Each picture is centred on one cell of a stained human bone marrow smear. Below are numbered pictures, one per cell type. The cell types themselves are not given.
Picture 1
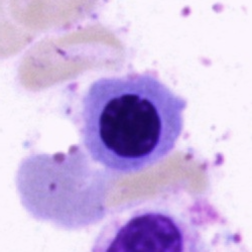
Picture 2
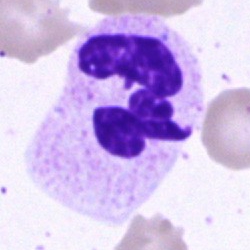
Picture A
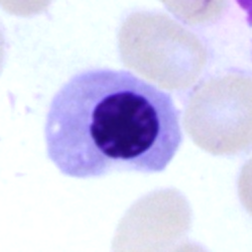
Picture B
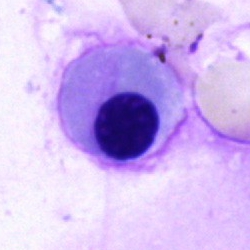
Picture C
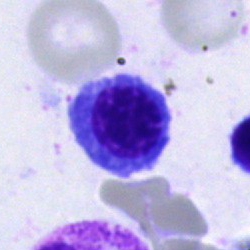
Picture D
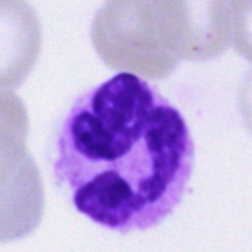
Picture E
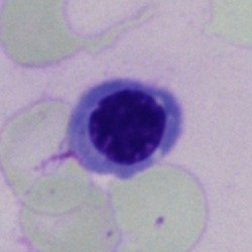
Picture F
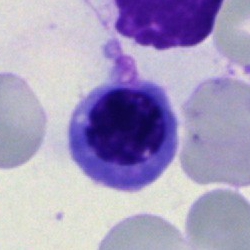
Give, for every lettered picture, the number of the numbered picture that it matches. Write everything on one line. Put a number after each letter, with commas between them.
A 1, B 1, C 1, D 2, E 1, F 1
